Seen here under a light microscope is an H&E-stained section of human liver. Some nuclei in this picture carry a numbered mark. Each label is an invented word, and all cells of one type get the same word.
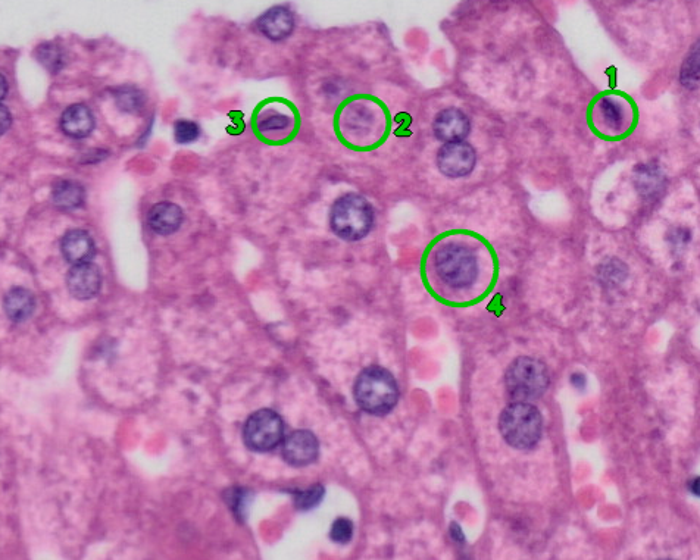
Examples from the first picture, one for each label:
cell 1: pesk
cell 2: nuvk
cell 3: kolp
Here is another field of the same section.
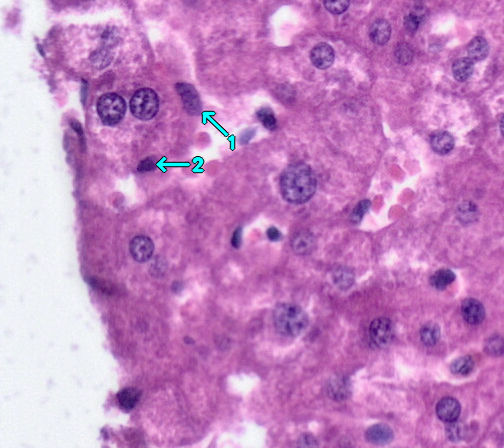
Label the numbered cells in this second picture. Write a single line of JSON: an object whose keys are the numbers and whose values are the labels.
{"1": "kolp", "2": "pesk"}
